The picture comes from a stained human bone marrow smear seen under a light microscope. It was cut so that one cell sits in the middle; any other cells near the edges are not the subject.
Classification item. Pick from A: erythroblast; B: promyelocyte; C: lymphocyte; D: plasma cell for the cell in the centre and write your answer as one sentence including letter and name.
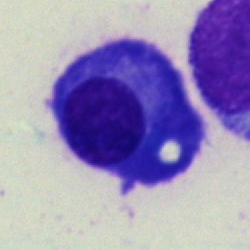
The central cell in this crop is a plasma cell, so the correct choice is option D.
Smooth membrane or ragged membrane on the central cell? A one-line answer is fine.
The cell is outlined unevenly, the border being ragged or extended into projections.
